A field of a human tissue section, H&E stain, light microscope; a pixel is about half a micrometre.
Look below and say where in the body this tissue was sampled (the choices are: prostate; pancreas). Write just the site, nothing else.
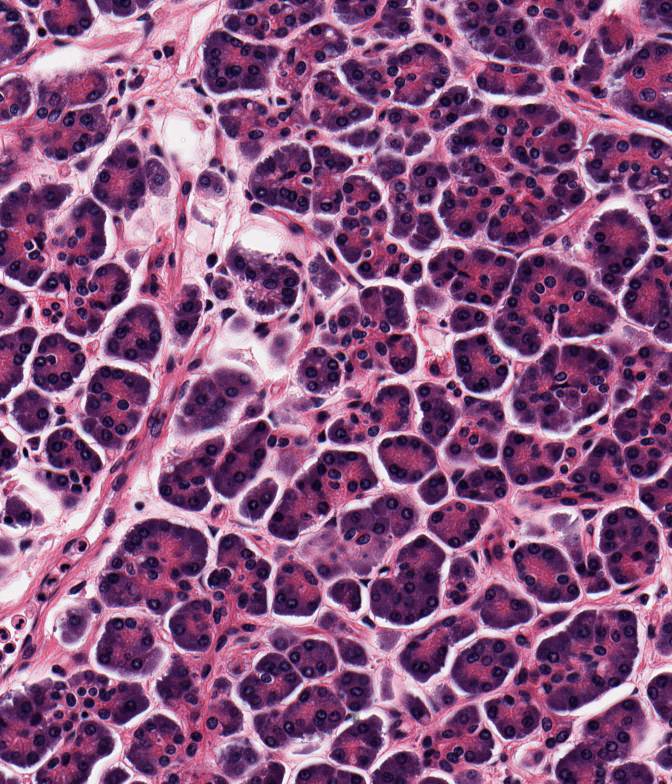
pancreas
